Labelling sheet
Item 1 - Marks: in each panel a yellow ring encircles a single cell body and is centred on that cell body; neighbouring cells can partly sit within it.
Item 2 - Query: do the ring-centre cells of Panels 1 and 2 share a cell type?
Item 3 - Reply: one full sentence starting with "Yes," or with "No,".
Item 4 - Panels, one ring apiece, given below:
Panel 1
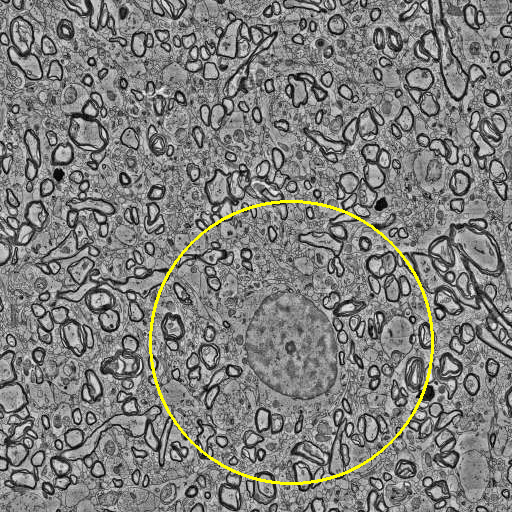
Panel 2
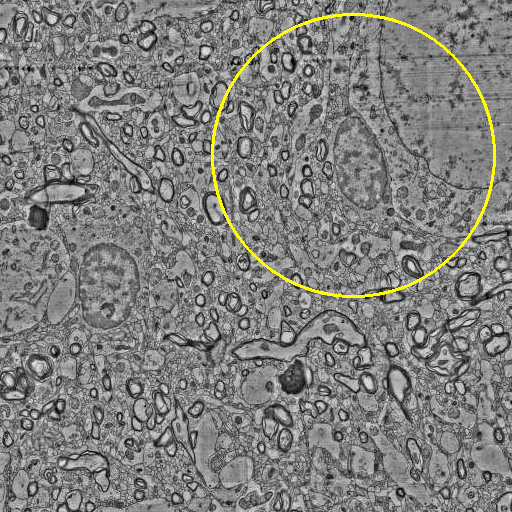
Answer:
Yes, Panel 1 and Panel 2 show one cell type at the centres of their rings.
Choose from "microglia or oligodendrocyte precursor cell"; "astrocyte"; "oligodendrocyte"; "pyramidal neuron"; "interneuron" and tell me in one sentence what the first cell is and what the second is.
Both pictures show an oligodendrocyte at the centre of the ring.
